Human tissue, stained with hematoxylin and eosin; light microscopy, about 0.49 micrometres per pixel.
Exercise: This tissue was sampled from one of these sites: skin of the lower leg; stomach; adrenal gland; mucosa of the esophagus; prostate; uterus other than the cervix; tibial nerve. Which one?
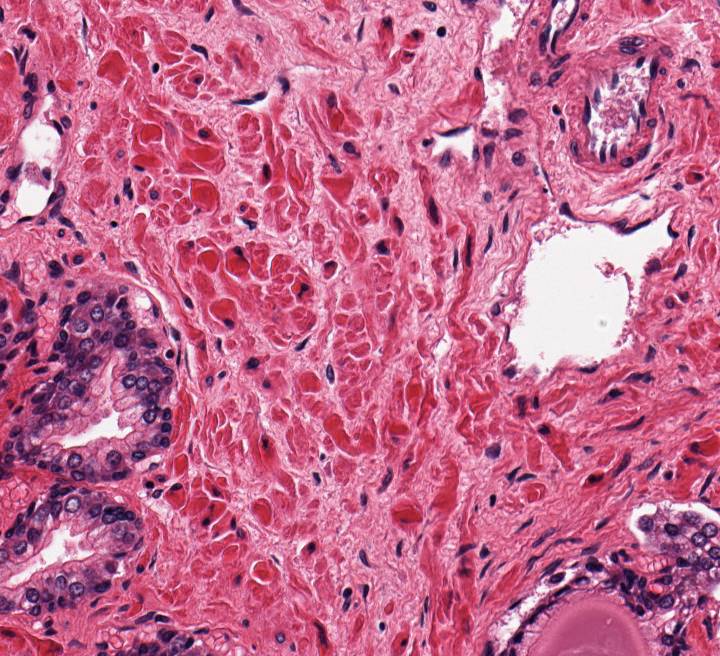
prostate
